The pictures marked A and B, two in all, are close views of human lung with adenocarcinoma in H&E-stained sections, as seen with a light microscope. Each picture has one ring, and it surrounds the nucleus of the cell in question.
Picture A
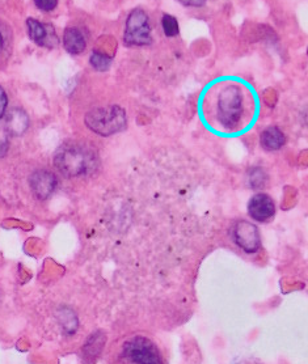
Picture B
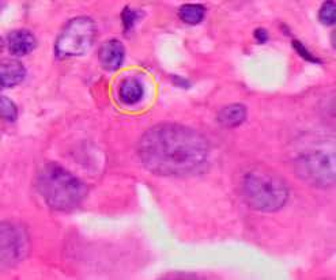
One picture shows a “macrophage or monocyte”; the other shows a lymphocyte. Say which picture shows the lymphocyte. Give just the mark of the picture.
B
